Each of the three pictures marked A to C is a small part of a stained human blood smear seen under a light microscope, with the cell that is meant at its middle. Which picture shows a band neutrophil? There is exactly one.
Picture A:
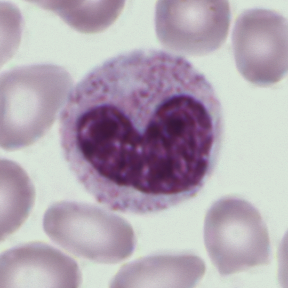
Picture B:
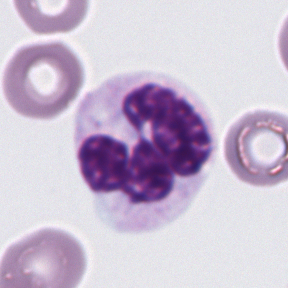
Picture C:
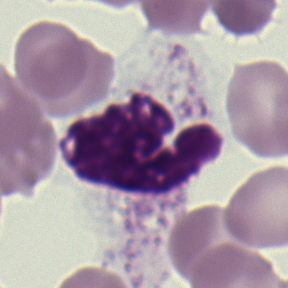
A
